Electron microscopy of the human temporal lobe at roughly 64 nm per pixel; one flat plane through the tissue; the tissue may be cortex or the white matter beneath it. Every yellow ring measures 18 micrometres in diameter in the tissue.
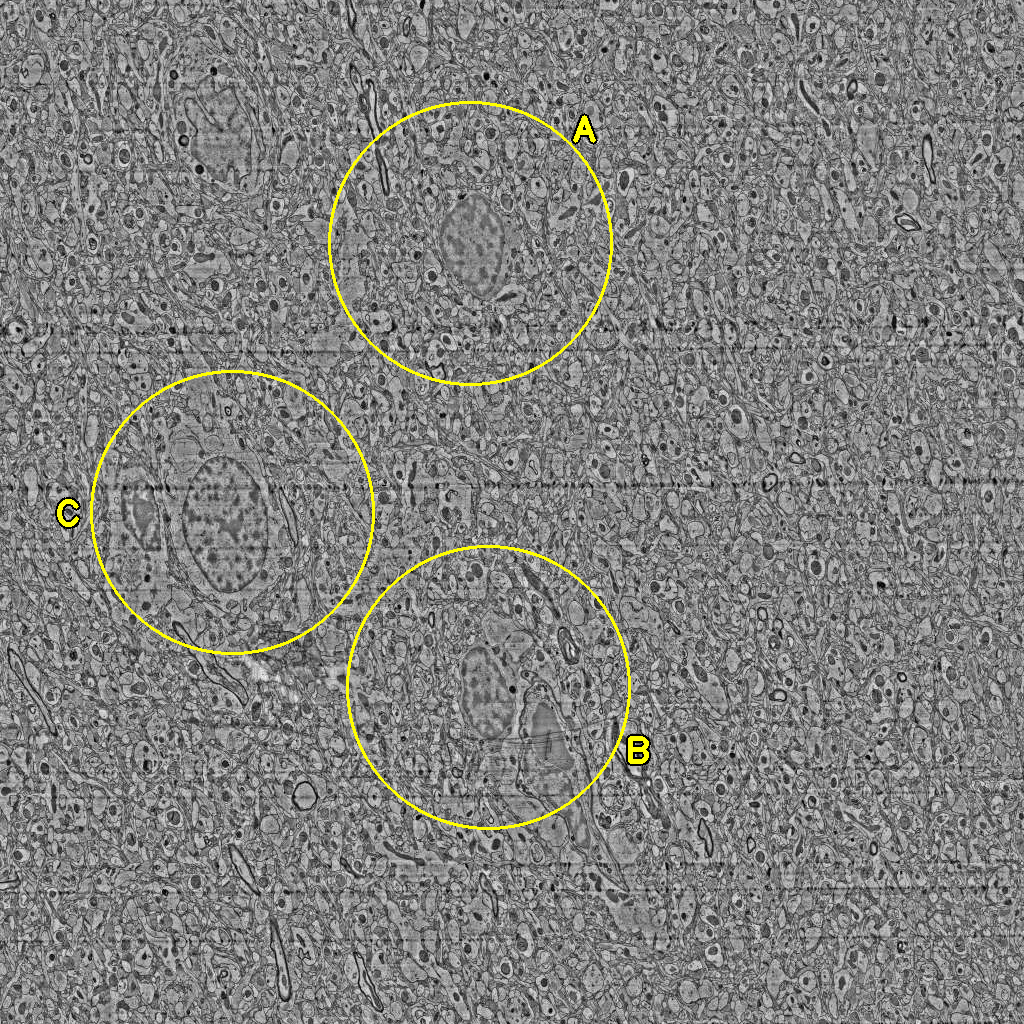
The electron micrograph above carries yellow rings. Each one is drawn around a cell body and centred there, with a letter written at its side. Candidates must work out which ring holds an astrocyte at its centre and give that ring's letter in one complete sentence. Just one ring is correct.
Letter C marks the ring whose centre holds that kind of cell.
